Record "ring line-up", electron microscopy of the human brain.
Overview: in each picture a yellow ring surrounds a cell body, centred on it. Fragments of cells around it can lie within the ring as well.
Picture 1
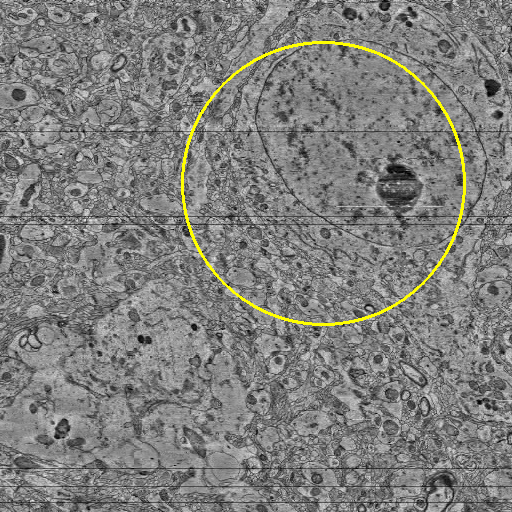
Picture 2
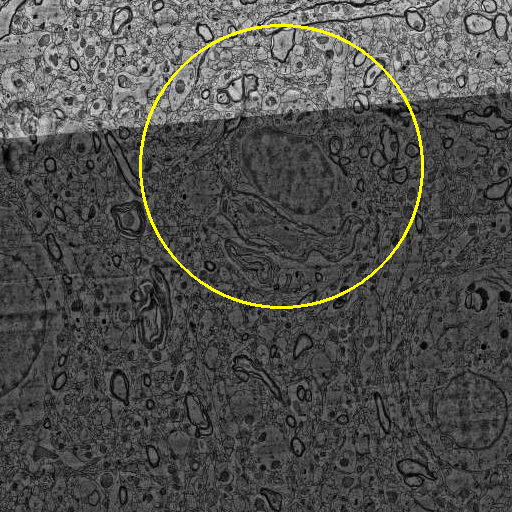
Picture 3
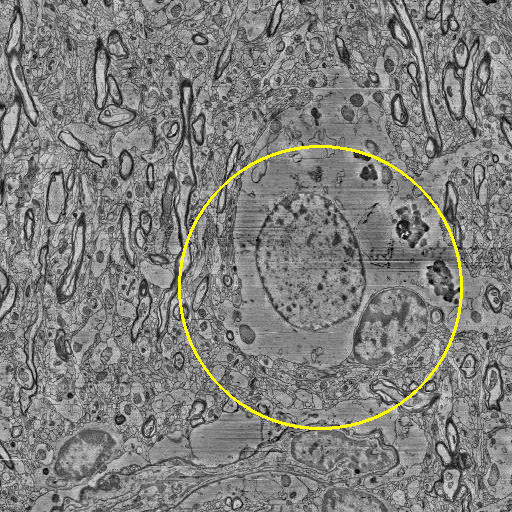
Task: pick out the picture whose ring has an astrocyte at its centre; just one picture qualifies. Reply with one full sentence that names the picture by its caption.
Going by the cell at the ring's centre, the right choice is Picture 3.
